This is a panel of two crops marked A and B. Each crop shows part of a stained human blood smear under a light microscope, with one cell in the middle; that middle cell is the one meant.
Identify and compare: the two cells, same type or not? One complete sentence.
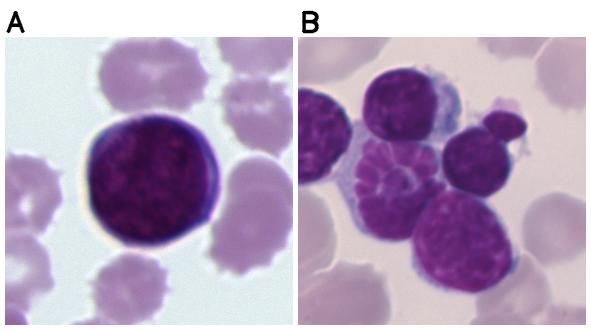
Yes, blasts are the cells shown in both crops.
